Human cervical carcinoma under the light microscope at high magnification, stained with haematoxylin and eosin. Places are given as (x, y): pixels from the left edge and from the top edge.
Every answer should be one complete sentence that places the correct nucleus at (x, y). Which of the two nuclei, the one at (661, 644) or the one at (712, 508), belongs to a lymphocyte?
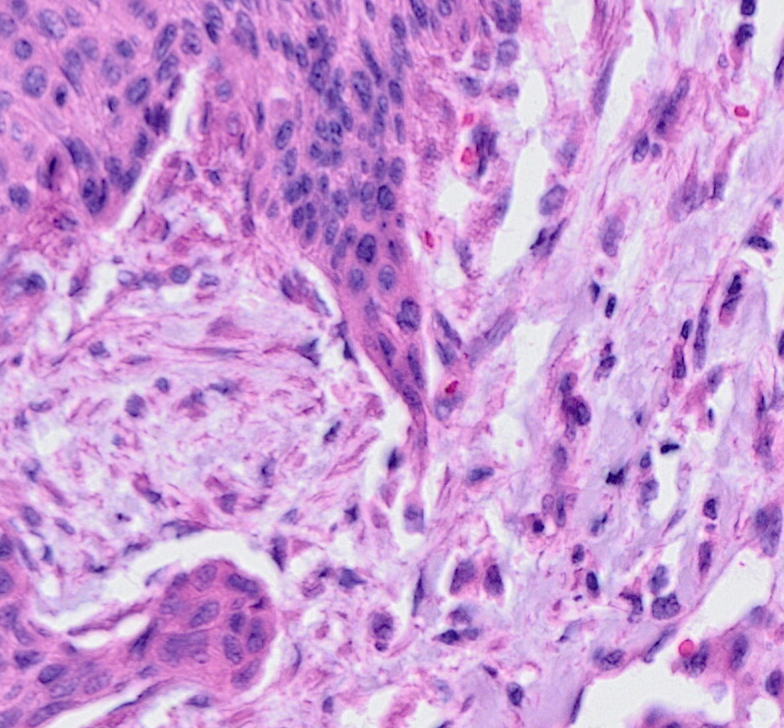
The one nucleus of the two that belongs to a lymphocyte is at (712, 508).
